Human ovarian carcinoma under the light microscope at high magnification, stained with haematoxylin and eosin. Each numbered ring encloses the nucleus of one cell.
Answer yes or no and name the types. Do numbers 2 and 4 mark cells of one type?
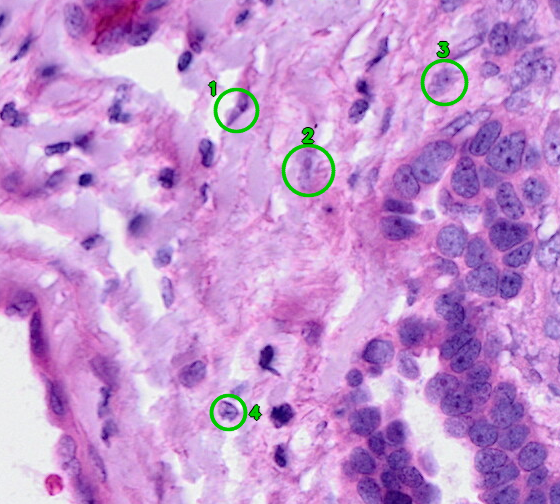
No, cell 2 is a fibroblast, and cell 4 is, by contrast, a lymphocyte.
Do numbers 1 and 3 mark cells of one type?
Yes, the pair of cells 1 and 3 are both fibroblasts.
